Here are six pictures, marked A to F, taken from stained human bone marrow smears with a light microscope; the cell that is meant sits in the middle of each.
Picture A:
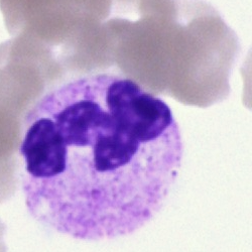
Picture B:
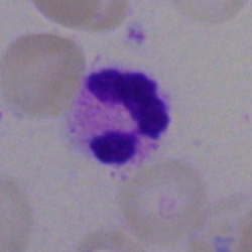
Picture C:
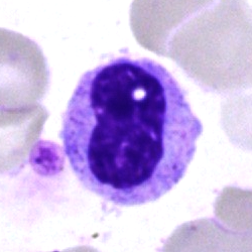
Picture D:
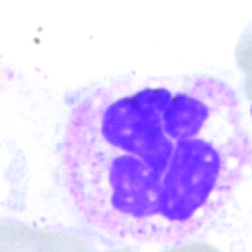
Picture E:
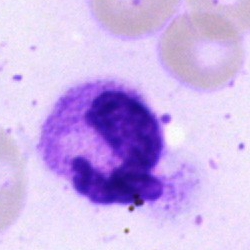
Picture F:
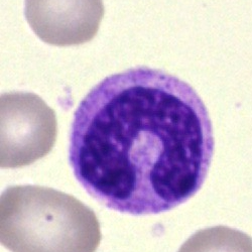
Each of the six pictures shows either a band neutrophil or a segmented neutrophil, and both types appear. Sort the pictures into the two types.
A: segmented neutrophil
B: segmented neutrophil
C: band neutrophil
D: segmented neutrophil
E: segmented neutrophil
F: band neutrophil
